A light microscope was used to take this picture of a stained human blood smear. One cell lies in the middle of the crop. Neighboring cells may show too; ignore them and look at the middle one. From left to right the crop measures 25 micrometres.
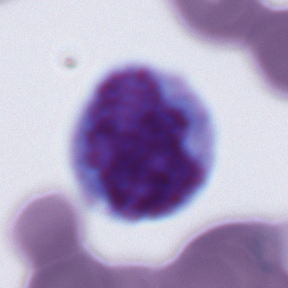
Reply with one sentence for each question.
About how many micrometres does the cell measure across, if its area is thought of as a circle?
Taken as a circle, the cell has a diameter of about 13 micrometres.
